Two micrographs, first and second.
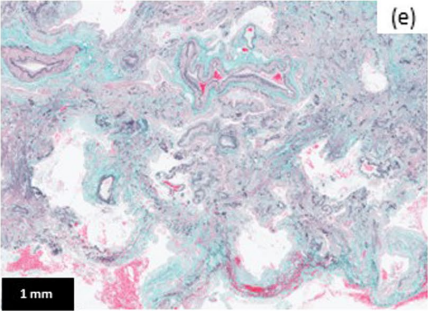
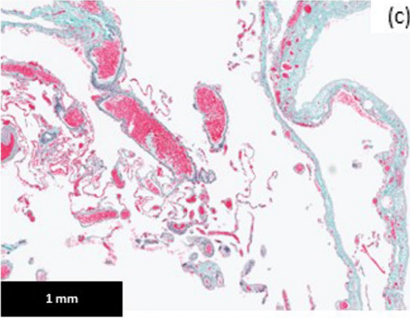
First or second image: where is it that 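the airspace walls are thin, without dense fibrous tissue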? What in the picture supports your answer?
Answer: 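First image: airspaces are small and distorted, set in thick dense fibrous tissue. On this evidence: the second image.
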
